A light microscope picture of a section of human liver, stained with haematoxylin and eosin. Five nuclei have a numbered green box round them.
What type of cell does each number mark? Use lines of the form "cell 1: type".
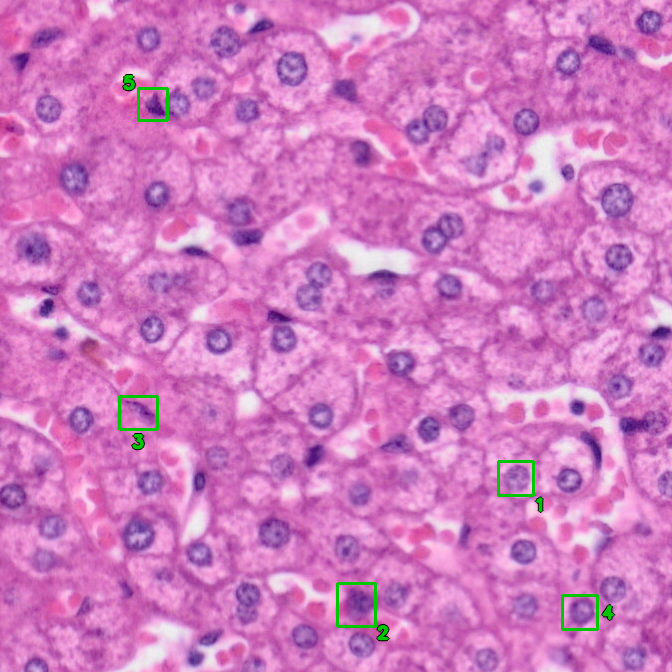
cell 1: hepatocyte
cell 2: endothelial cell
cell 3: endothelial cell
cell 4: hepatocyte
cell 5: fibroblast or stellate cell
